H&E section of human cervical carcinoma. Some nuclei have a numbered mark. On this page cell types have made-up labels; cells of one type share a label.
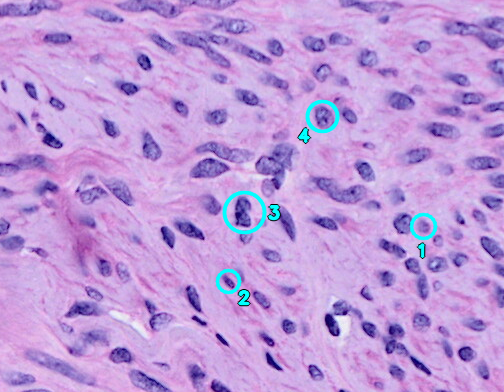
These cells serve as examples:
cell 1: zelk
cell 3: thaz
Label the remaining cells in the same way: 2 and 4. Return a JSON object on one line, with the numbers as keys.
{"2": "zelk", "4": "zelk"}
